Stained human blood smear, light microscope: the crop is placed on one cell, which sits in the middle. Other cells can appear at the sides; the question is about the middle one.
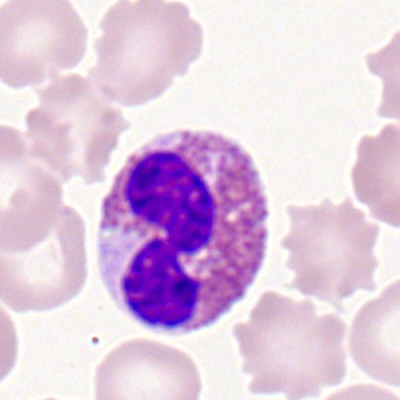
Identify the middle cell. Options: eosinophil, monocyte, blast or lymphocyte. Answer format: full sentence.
In the center of this field lies an eosinophil.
